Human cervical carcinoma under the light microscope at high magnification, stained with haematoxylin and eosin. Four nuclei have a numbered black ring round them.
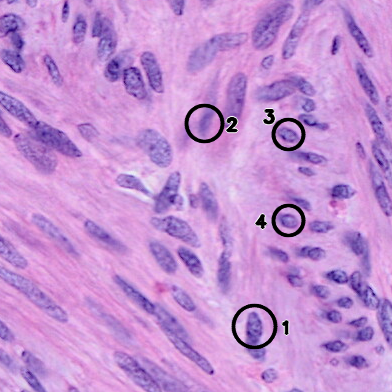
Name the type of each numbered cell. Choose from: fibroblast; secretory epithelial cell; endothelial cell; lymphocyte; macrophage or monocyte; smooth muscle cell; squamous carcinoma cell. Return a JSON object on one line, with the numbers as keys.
{"1": "fibroblast", "2": "smooth muscle cell", "3": "smooth muscle cell", "4": "smooth muscle cell"}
